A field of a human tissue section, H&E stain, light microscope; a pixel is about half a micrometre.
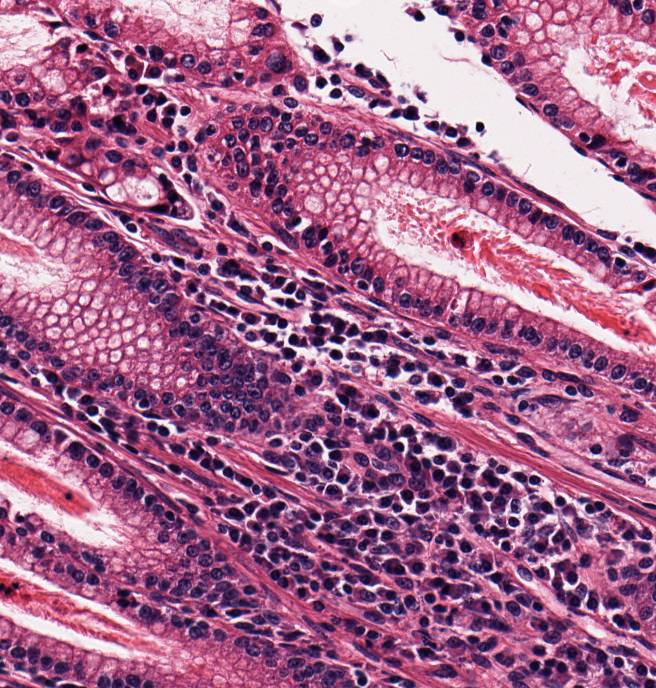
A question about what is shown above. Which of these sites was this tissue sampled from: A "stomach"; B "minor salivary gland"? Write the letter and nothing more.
A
